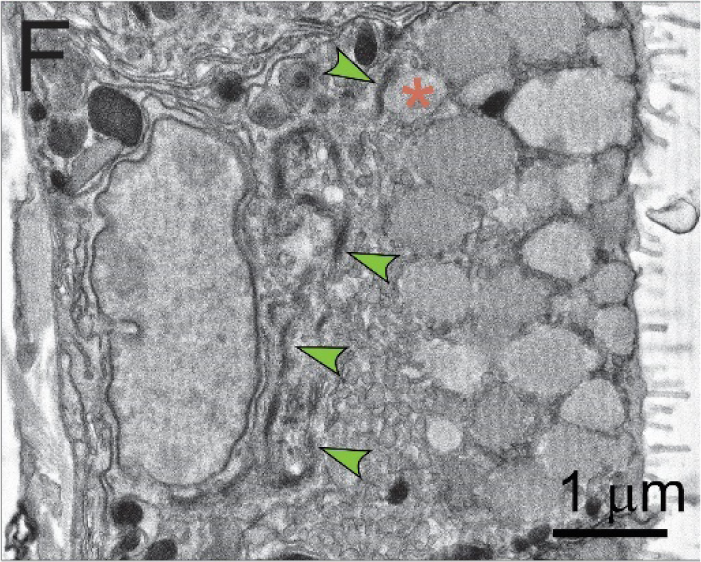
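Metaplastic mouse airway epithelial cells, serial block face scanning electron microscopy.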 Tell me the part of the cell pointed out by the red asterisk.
Immature mucin granule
